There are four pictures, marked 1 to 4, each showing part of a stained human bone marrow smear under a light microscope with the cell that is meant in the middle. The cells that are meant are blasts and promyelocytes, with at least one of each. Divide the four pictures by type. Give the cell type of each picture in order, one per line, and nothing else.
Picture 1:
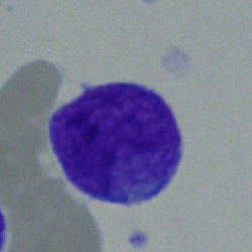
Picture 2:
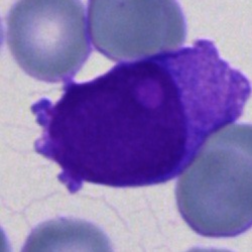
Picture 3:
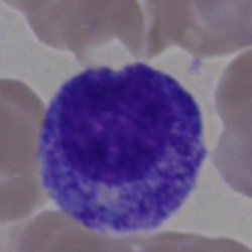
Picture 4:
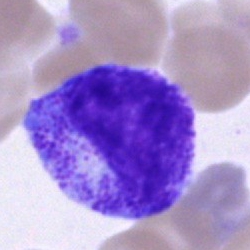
blast
blast
promyelocyte
promyelocyte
